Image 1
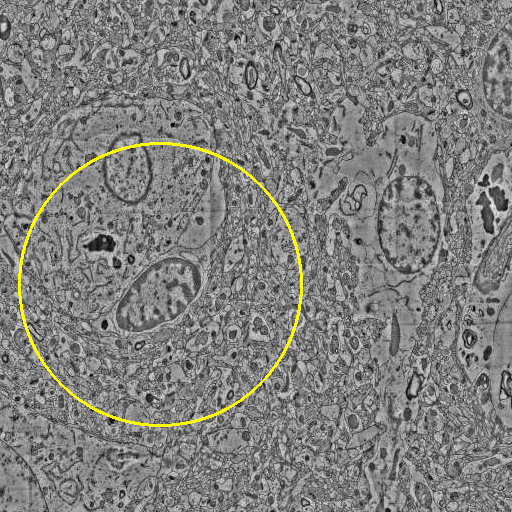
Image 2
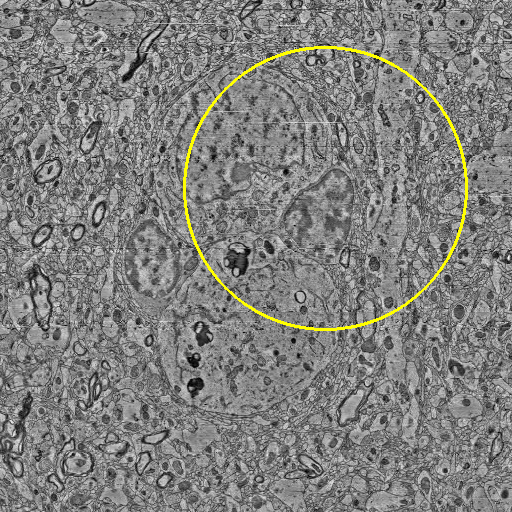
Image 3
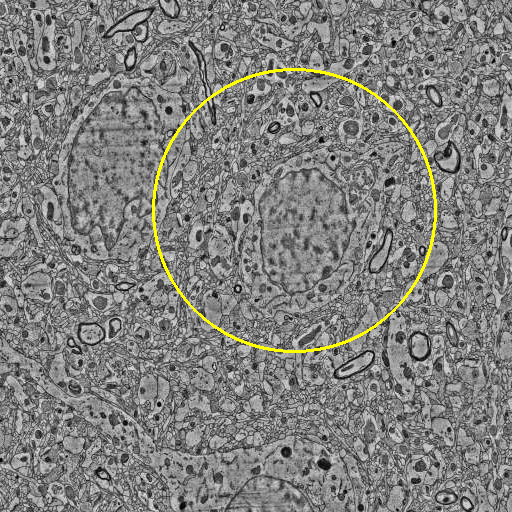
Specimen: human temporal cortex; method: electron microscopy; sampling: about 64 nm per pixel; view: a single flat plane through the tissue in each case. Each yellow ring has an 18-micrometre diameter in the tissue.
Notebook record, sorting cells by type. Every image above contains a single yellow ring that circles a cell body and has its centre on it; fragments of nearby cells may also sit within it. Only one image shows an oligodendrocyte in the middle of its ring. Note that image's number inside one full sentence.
For image 2, the cell in the middle of its yellow ring is the match.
